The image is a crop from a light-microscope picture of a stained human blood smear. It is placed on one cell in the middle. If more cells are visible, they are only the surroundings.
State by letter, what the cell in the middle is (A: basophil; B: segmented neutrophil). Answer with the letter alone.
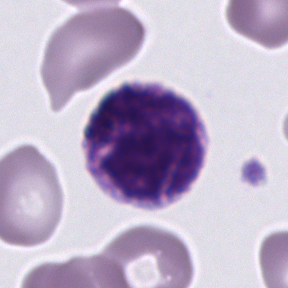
A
